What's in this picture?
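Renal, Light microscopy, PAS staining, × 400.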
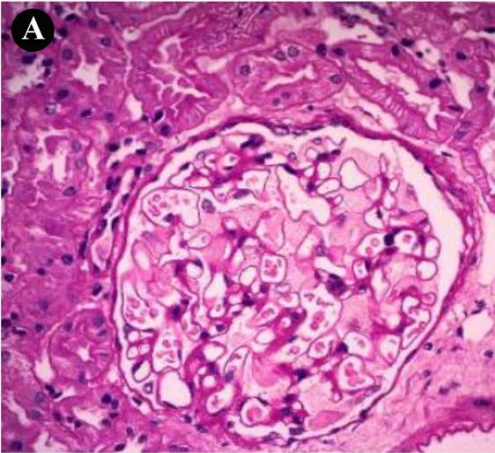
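This is a glomerulus in the kidney cortex, ringed by tubules with pink cytoplasm. Across the tuft, the cells covering the magenta-outlined capillary loops look pale, swollen and bubbly, their cytoplasm filled with clear vacuoles, so the tuft has a foamy look.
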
